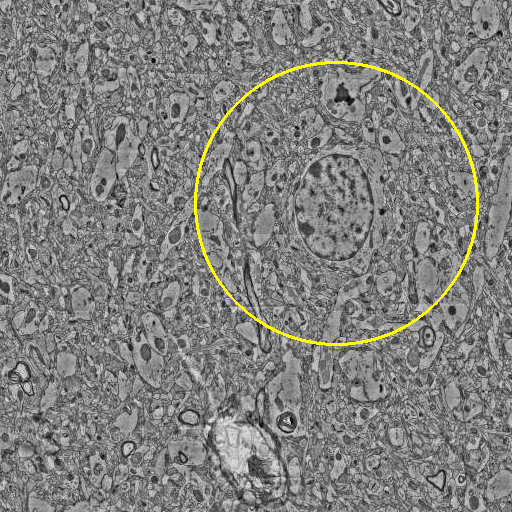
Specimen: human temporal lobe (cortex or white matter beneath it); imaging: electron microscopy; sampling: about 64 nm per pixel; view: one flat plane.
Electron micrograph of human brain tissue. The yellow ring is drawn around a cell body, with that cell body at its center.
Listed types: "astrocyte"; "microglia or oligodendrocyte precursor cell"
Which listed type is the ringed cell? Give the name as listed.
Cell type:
microglia or oligodendrocyte precursor cell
